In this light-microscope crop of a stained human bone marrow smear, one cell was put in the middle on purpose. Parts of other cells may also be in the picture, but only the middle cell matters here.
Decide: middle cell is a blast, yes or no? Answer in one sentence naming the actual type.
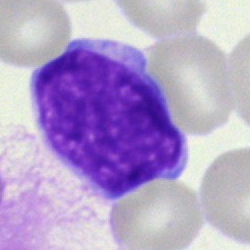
Yes, the cell in the center of the field is a blast.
